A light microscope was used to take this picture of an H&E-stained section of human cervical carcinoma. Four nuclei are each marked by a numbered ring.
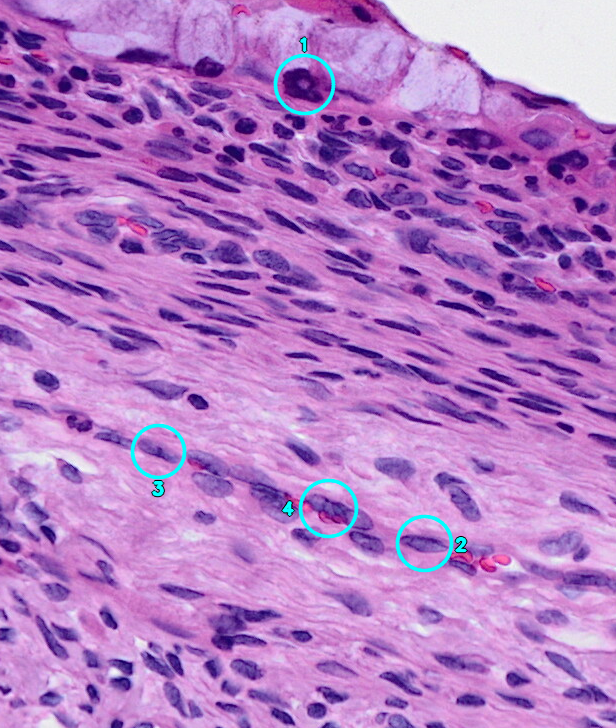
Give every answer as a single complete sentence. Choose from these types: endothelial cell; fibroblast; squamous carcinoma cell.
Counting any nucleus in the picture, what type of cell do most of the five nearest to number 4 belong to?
Most of the five nuclei nearest to number 4 are those of endothelial cells.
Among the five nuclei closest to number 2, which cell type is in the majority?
Endothelial cells make up most of the five nuclei closest to number 2.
